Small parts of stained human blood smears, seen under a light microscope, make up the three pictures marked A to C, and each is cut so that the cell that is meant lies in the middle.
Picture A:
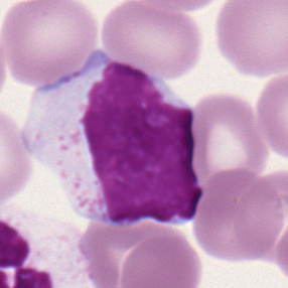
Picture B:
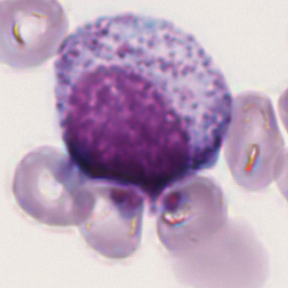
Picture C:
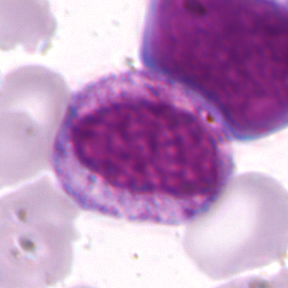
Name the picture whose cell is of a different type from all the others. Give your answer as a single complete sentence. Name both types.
Picture A differs, because its cell is a large granular lymphocyte and the rest are myelocytes.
